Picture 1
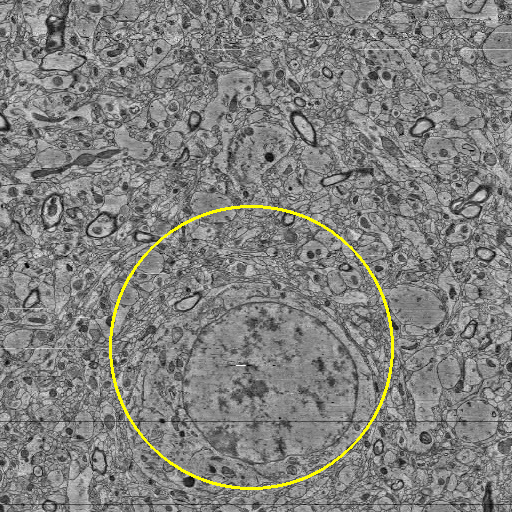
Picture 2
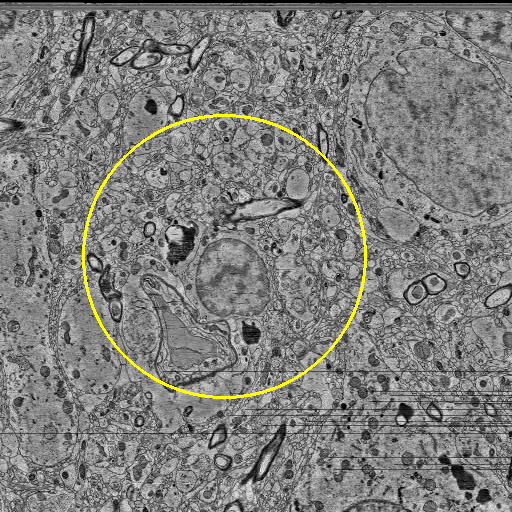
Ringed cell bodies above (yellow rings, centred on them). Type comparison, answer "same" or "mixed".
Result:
mixed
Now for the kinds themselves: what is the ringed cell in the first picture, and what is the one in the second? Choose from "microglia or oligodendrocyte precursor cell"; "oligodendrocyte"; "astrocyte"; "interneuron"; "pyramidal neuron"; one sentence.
Here the first cell is a pyramidal neuron and the second cell is an oligodendrocyte.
